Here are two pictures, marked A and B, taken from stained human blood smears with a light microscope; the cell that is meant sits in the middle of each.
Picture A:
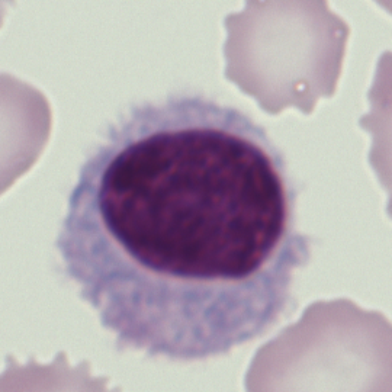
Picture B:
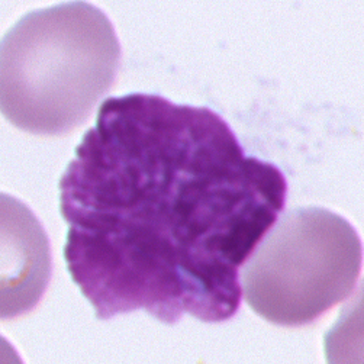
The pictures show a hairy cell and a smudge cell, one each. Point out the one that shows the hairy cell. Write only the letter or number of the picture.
A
